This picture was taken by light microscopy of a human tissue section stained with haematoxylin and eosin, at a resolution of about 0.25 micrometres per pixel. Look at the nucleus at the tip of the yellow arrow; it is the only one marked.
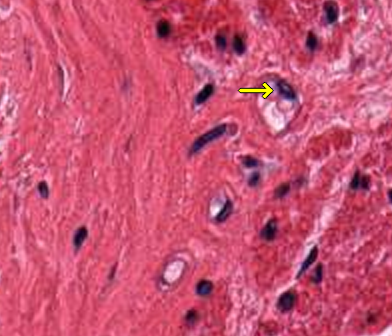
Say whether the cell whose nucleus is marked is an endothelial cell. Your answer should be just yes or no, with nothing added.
yes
